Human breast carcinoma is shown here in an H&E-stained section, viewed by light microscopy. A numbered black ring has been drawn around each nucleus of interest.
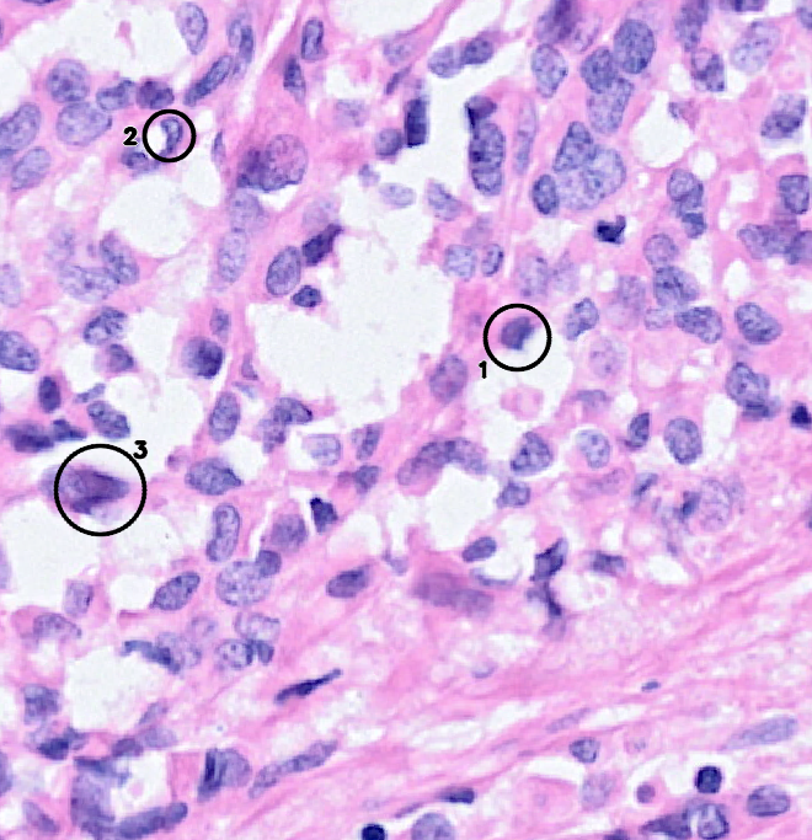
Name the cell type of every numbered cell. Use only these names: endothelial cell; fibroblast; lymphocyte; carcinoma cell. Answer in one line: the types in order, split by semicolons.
carcinoma cell; endothelial cell; carcinoma cell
